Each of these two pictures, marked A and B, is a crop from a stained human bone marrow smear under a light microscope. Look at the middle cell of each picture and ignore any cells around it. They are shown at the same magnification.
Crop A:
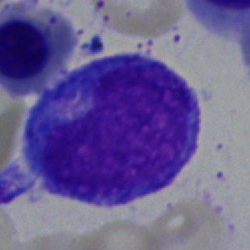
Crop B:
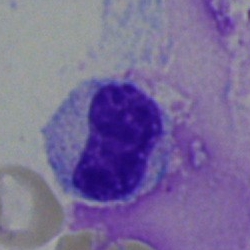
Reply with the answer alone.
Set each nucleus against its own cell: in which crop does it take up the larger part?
A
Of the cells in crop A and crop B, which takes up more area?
A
